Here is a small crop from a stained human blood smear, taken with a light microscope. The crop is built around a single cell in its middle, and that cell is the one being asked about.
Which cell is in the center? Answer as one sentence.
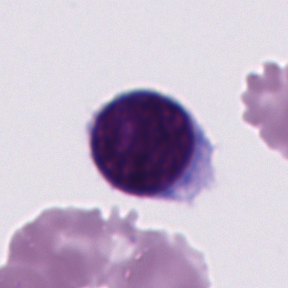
The crop shows a hairy cell in its centre.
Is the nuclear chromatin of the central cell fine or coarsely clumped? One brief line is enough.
Its chromatin is clumped in a coarse pattern.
